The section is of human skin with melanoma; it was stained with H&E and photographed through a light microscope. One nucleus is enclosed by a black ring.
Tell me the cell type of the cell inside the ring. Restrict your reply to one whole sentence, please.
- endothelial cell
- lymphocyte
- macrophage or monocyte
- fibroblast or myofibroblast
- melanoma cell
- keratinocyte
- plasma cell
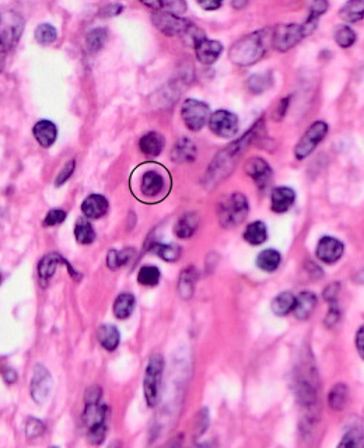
Among the cells in this section, the cell inside the ring is a lymphocyte.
